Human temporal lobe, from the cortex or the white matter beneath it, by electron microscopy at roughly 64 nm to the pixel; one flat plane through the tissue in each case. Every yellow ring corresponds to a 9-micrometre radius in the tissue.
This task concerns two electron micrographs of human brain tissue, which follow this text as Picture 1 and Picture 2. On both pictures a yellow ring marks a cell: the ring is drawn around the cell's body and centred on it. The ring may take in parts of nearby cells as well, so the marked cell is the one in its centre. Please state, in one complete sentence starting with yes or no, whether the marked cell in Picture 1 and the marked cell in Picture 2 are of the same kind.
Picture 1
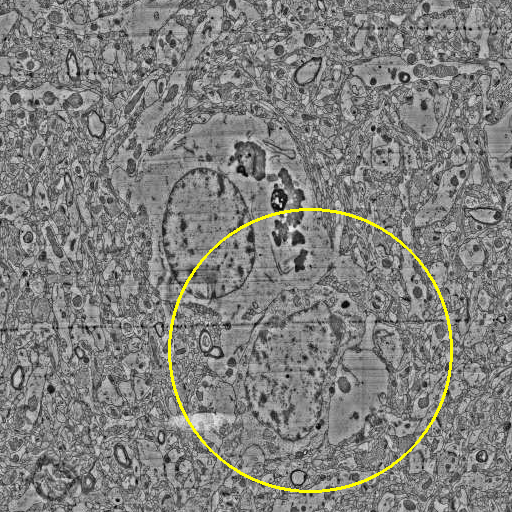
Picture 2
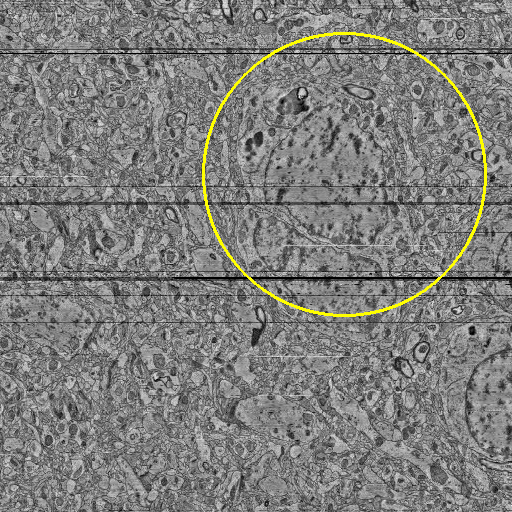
Yes, the marked cells in both pictures are of the same kind.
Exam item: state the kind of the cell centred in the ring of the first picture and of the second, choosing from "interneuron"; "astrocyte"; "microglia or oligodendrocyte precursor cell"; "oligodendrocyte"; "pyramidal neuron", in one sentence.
Each of the two rings is centred on an interneuron.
